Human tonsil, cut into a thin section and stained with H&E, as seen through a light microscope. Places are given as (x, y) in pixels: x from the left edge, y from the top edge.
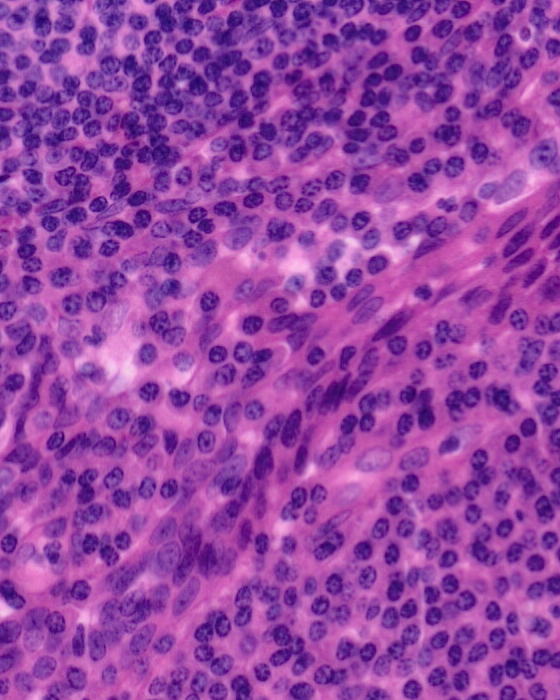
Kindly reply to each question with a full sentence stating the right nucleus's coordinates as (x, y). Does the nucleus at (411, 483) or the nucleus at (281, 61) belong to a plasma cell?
The nucleus at (411, 483) is assigned to a plasma cell.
